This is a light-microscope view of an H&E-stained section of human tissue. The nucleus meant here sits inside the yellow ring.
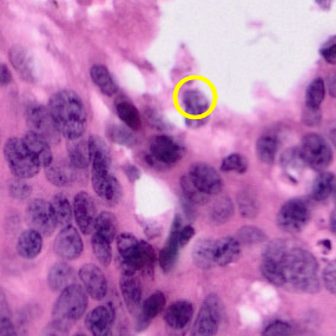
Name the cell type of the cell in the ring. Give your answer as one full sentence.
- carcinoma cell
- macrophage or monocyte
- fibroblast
For cell typing purposes, the cell in the ring is a macrophage or monocyte.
